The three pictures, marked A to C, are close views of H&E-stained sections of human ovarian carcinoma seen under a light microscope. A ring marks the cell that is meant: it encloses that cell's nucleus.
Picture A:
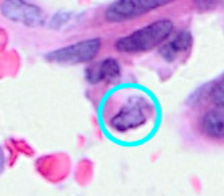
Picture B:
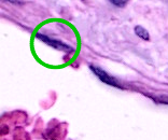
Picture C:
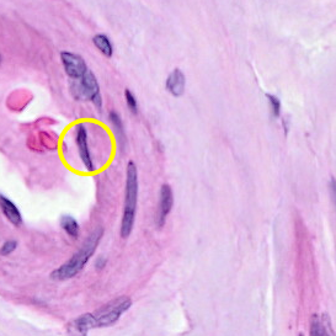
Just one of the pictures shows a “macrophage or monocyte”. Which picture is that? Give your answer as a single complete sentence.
Picture A shows the “macrophage or monocyte”.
